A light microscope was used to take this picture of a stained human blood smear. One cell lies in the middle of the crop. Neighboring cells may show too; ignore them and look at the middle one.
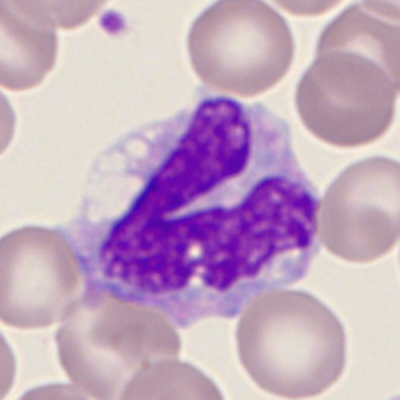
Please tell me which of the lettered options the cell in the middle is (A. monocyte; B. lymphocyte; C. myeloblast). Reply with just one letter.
A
